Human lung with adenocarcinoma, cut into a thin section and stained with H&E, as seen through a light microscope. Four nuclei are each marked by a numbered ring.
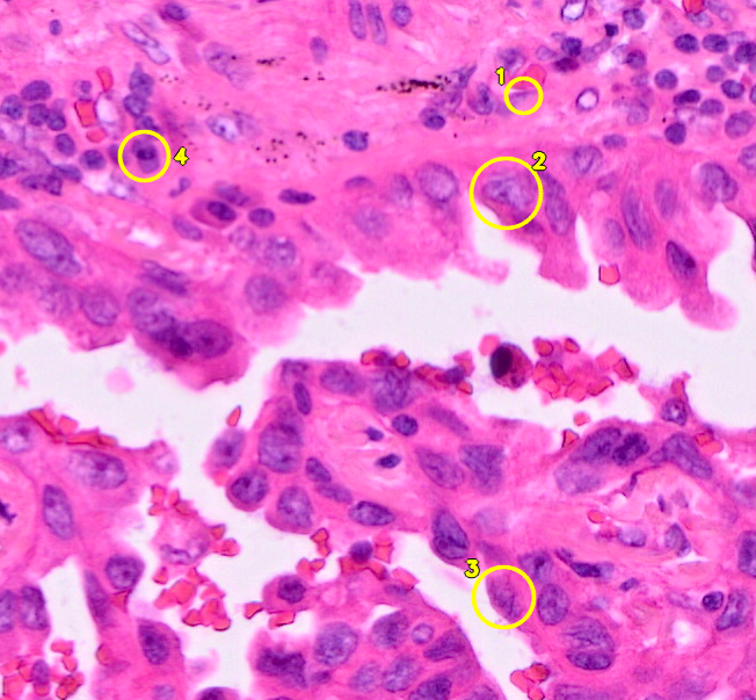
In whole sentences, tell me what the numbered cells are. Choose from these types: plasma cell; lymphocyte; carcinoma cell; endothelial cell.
Cell 1 is an endothelial cell. Cells 2 and 3 are carcinoma cells. Cell 4 is a lymphocyte.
